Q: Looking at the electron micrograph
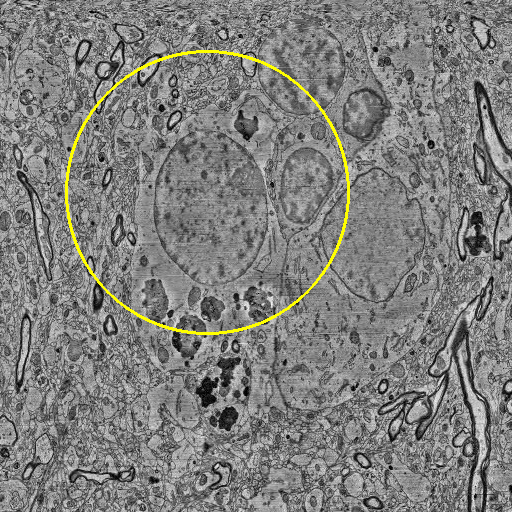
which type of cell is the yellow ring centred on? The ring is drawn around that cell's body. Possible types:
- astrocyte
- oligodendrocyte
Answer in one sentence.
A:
The yellow ring is centred on an astrocyte.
